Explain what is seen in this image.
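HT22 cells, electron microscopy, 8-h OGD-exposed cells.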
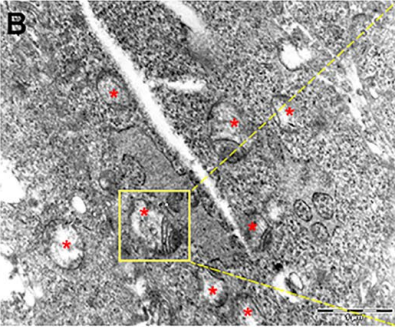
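Cytoplasm of cultured neuronal cells with many mitochondria marked by asterisks, rounded and with a pale, lucent matrix and only fragments of cristae at their margins. A long pale cleft crosses the field diagonally through the dense granular cytoplasm, with small membrane profiles scattered nearby.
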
